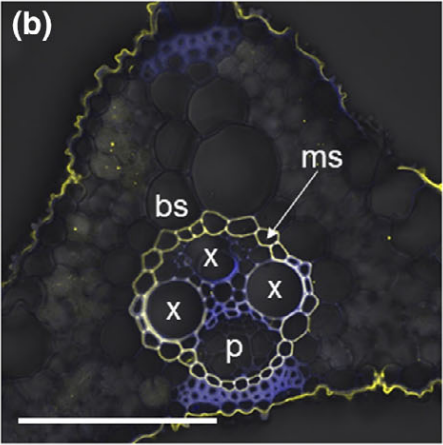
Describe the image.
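Two big round xylem vessels flank a smaller vessel above, with the phloem below them, all enclosed by a tight ring of small, thick-walled mestome sheath cells whose walls shine pale yellow to white. Below the bundle a cap of small thick-walled cells fluoresces blue, reaching the lower epidermis. Mesophyll cells with greyish granular contents fill the sides, and the leaf surfaces are traced by a yellow outline.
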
